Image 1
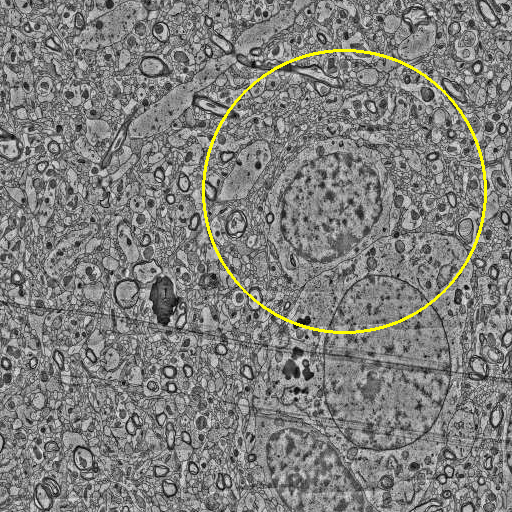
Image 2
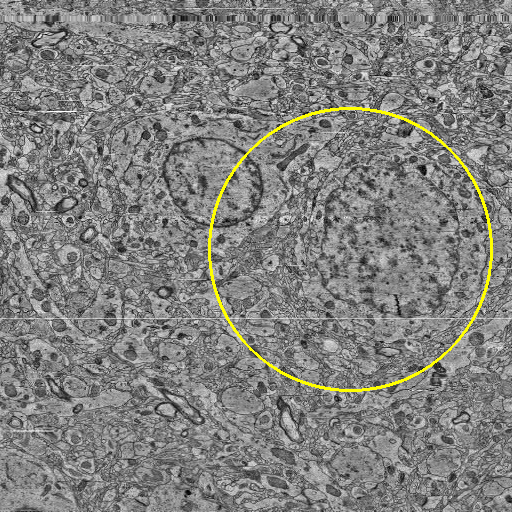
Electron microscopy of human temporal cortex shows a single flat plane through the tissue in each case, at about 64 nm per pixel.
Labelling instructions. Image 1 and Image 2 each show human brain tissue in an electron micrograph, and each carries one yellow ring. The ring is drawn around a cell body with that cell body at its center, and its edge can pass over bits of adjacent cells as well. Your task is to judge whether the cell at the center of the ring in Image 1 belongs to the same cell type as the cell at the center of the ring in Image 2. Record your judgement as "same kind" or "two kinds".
same kind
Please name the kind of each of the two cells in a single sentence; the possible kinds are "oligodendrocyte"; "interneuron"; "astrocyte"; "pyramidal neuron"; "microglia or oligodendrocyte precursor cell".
In both pictures the ring is centred on an interneuron.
